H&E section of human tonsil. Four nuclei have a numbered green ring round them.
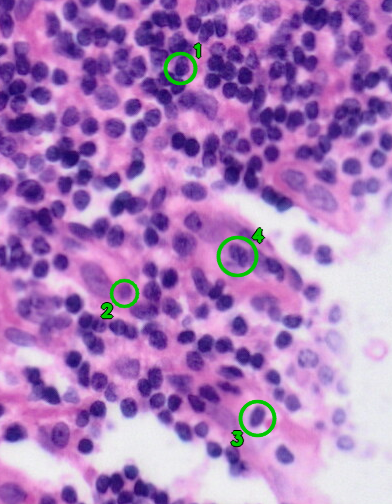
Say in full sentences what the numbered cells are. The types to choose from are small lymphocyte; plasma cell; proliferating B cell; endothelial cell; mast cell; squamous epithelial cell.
Cell 1 is a small lymphocyte. Cells 2, 3 and 4 are endothelial cells.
